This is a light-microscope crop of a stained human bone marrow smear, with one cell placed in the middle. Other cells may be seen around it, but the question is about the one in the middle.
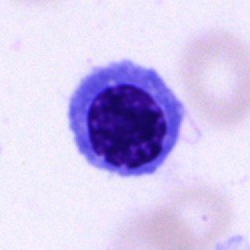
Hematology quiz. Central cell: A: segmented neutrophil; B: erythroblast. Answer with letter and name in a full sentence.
Option B is correct, and the cell in the centre is an erythroblast.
